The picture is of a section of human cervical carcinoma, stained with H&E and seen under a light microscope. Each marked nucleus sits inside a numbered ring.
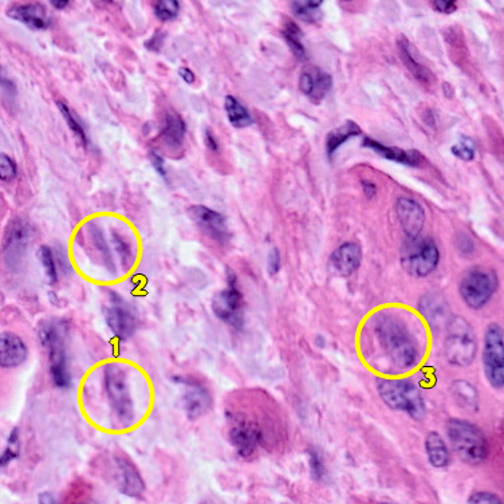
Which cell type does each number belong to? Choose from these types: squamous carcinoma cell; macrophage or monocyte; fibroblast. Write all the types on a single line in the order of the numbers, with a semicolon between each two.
fibroblast; fibroblast; squamous carcinoma cell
